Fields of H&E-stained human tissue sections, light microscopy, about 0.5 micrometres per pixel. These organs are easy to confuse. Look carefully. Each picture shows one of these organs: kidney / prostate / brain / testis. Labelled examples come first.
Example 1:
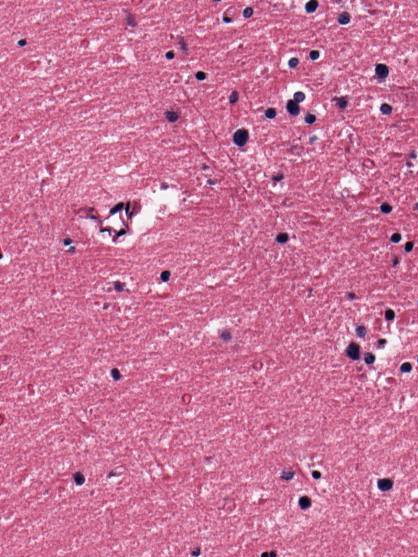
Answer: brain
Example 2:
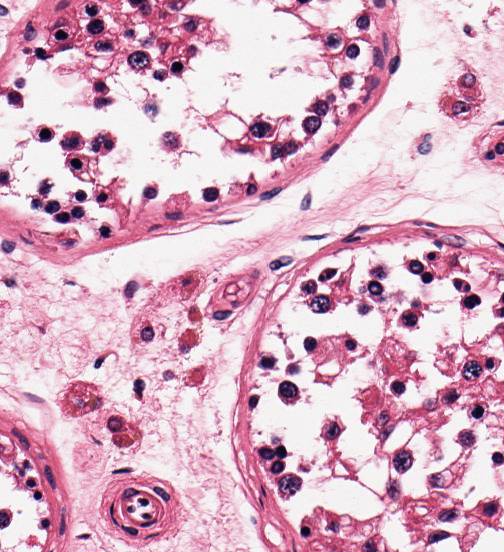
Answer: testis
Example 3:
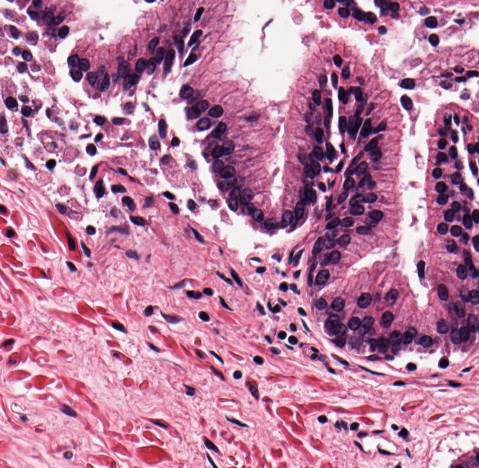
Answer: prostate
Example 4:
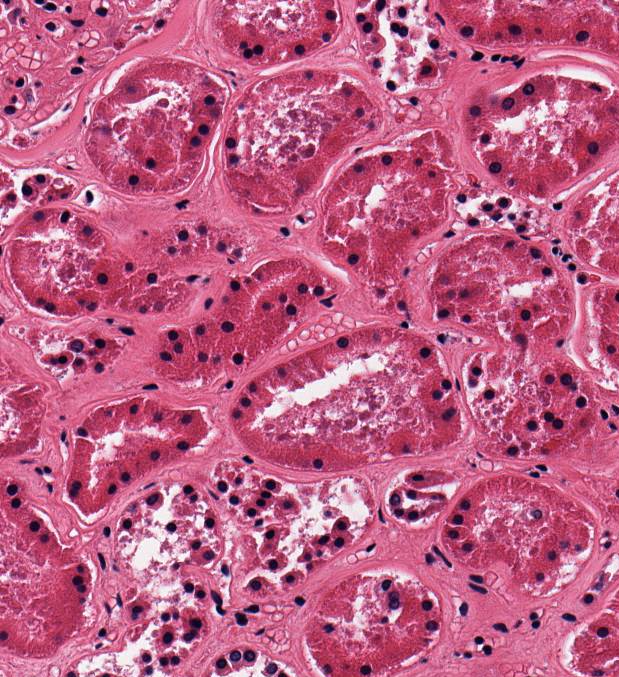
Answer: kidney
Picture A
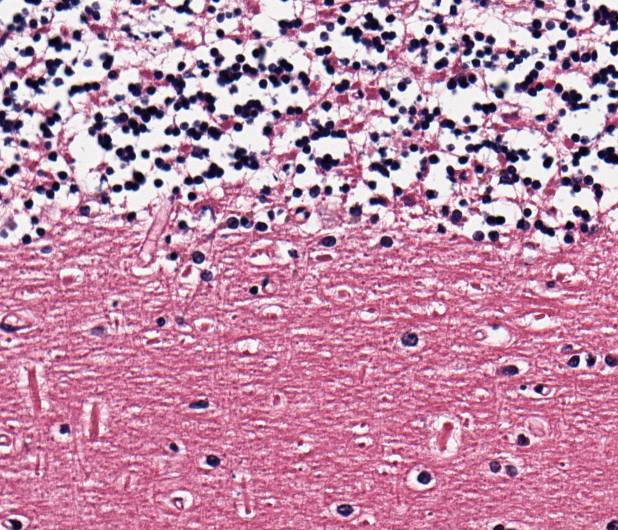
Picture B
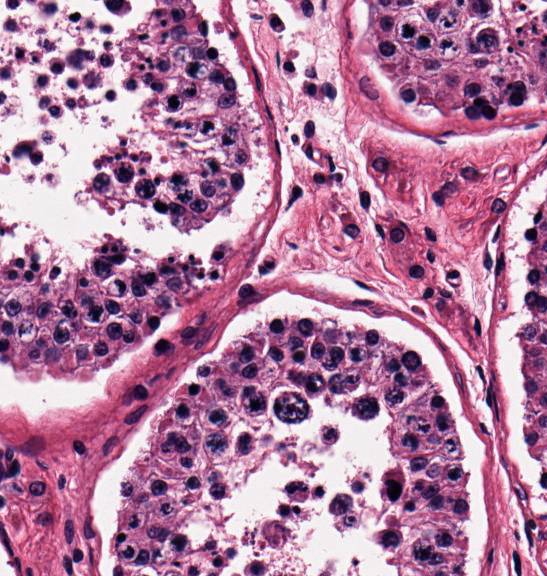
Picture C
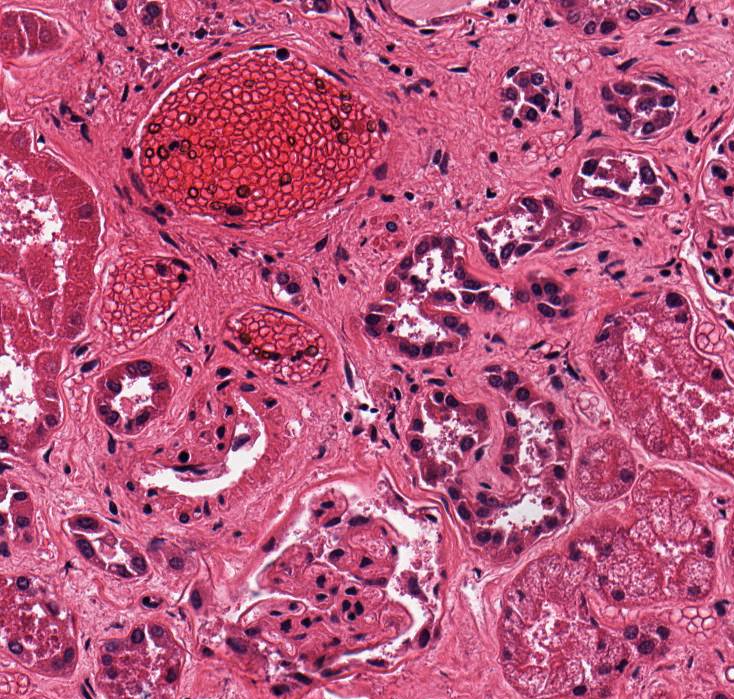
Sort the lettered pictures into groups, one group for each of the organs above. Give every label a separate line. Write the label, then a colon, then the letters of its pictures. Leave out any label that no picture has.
kidney: C
brain: A
testis: B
